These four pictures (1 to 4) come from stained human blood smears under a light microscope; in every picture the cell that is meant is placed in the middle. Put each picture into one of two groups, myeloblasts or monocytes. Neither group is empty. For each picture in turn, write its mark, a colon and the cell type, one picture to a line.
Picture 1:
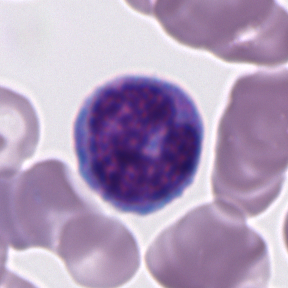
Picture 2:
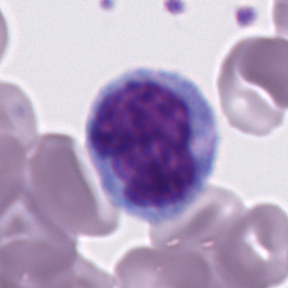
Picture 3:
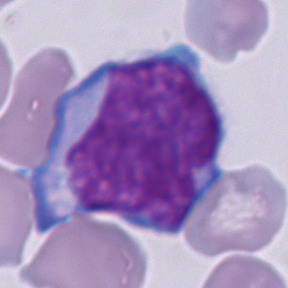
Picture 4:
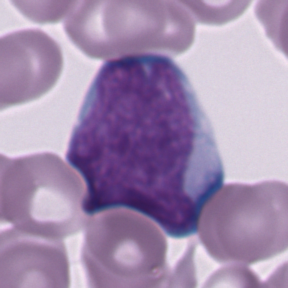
1: monocyte
2: monocyte
3: myeloblast
4: myeloblast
